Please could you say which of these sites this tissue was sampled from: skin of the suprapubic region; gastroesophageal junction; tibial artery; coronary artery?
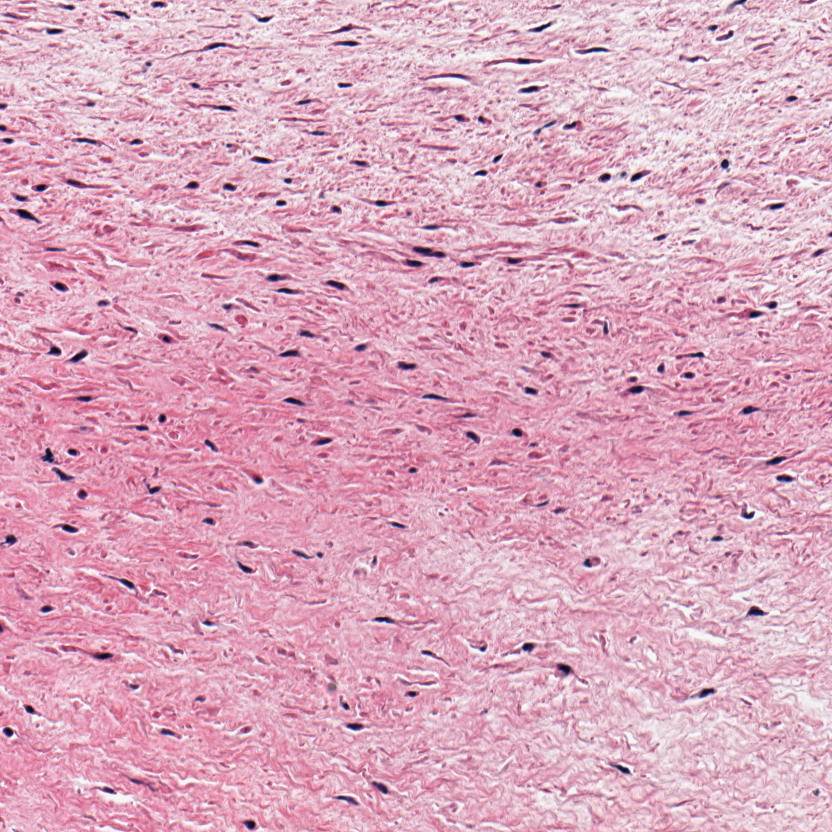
coronary artery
